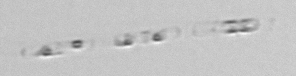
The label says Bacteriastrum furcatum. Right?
Wrong: this is Skeletonema.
